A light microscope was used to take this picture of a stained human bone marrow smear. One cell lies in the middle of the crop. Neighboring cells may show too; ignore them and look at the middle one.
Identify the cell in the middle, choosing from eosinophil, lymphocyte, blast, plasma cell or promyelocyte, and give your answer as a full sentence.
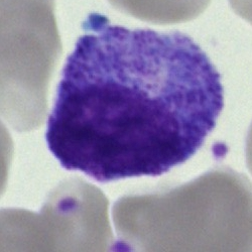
The cell marked by its central position in the crop is a promyelocyte.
